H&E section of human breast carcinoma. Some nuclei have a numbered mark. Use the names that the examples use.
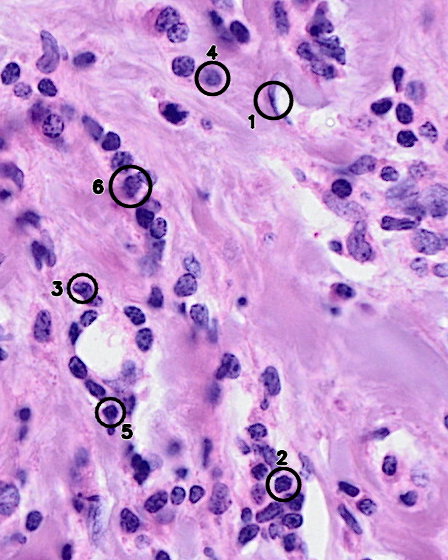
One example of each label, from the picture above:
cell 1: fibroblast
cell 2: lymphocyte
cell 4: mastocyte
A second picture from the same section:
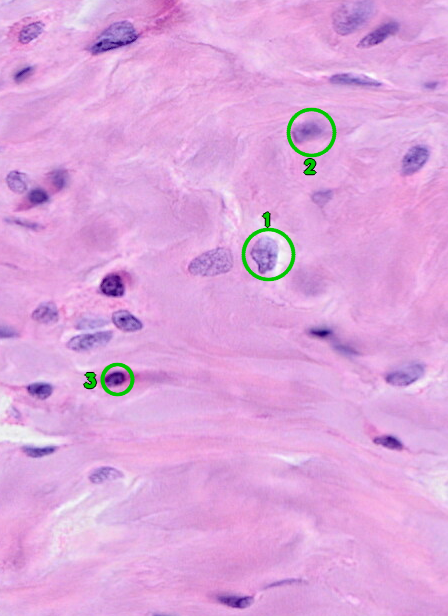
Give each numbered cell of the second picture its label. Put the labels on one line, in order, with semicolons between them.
fibroblast; fibroblast; mastocyte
